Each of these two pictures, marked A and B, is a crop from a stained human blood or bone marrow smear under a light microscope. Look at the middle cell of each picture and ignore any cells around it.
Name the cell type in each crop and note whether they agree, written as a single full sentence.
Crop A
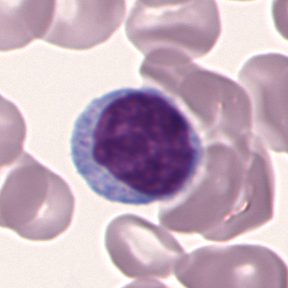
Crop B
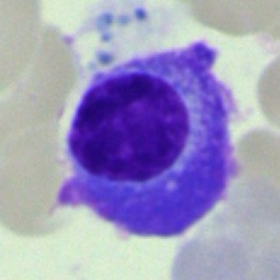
No, crop A captures a lymphocyte; meanwhile crop B captures a plasma cell.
